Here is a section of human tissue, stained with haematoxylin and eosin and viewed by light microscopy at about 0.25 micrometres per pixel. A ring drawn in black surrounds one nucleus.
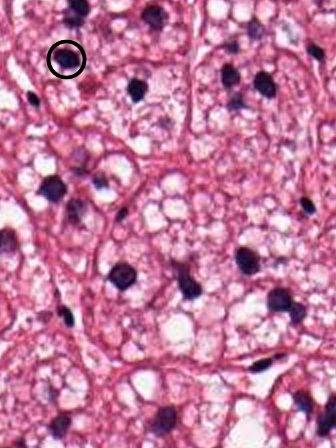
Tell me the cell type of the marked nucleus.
adrenal cortical cell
